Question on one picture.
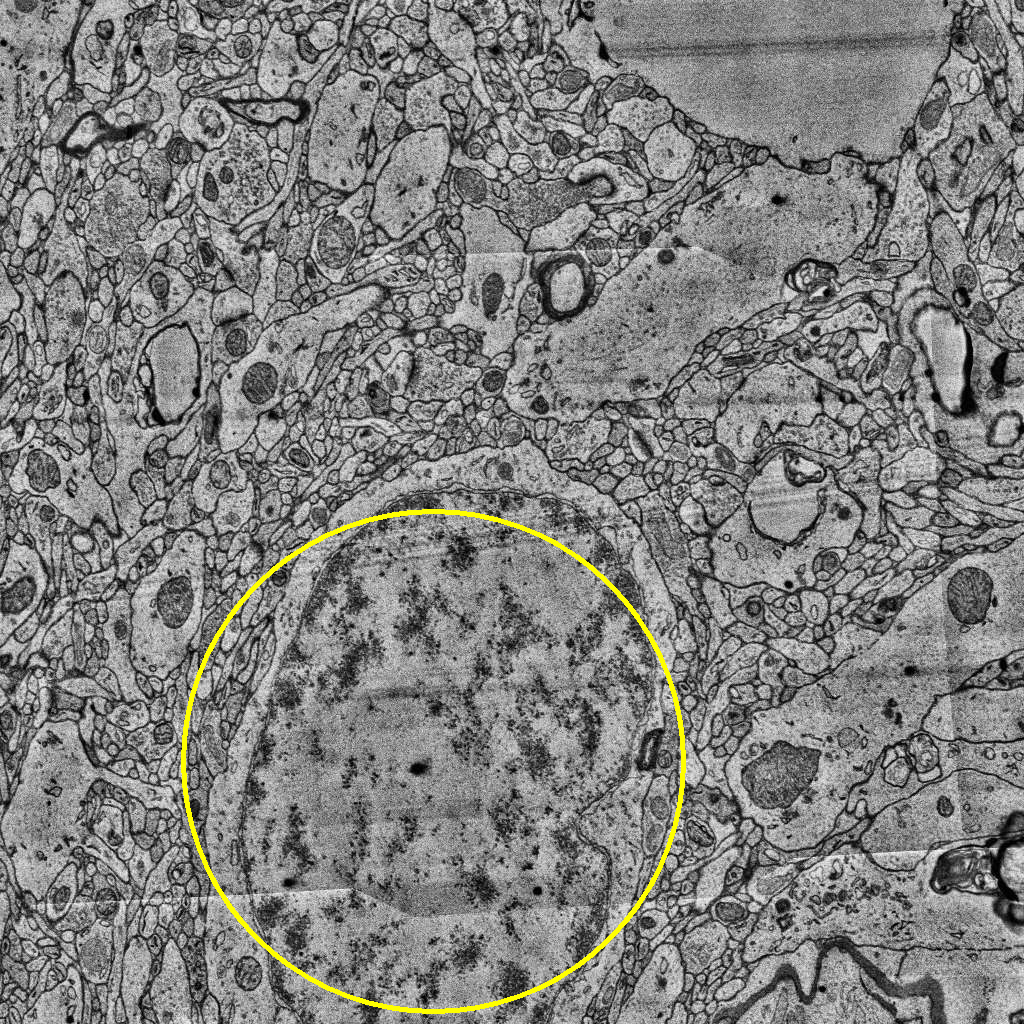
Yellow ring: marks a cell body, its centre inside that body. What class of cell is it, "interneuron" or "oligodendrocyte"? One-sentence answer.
This is an interneuron, the cell at the ring's centre.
